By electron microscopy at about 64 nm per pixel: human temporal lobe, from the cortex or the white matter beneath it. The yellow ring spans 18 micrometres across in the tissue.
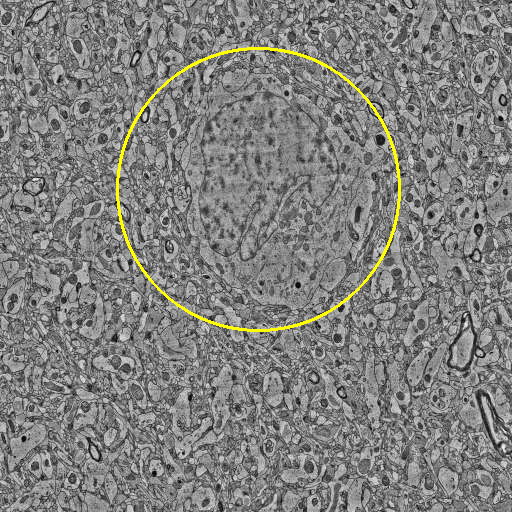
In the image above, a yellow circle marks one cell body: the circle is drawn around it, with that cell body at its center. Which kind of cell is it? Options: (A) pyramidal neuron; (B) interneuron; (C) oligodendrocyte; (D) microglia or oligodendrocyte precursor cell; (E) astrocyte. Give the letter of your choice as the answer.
B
